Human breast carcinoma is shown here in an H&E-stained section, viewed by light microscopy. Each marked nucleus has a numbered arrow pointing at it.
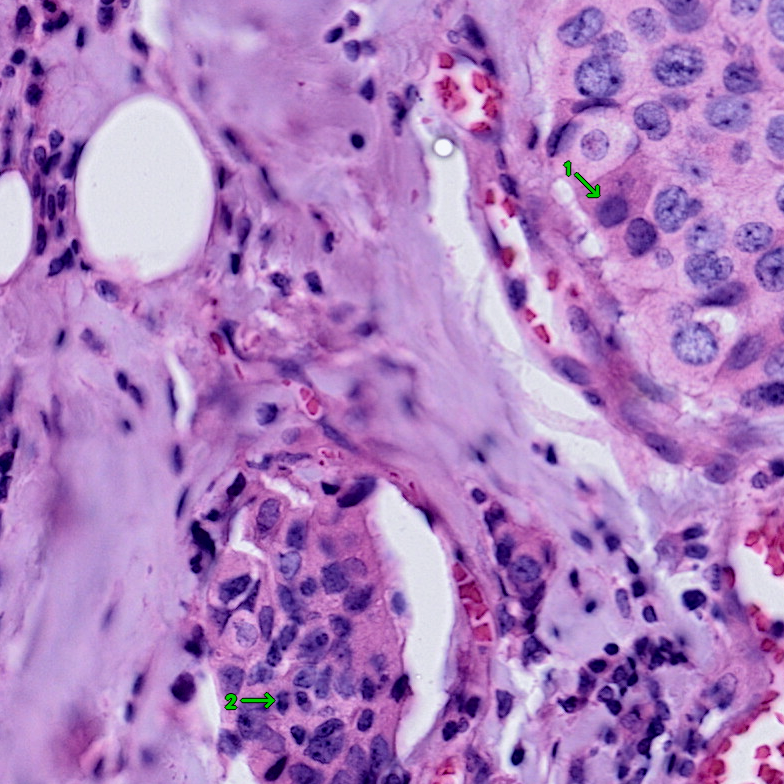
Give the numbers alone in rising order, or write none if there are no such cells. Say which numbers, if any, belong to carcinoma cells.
1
